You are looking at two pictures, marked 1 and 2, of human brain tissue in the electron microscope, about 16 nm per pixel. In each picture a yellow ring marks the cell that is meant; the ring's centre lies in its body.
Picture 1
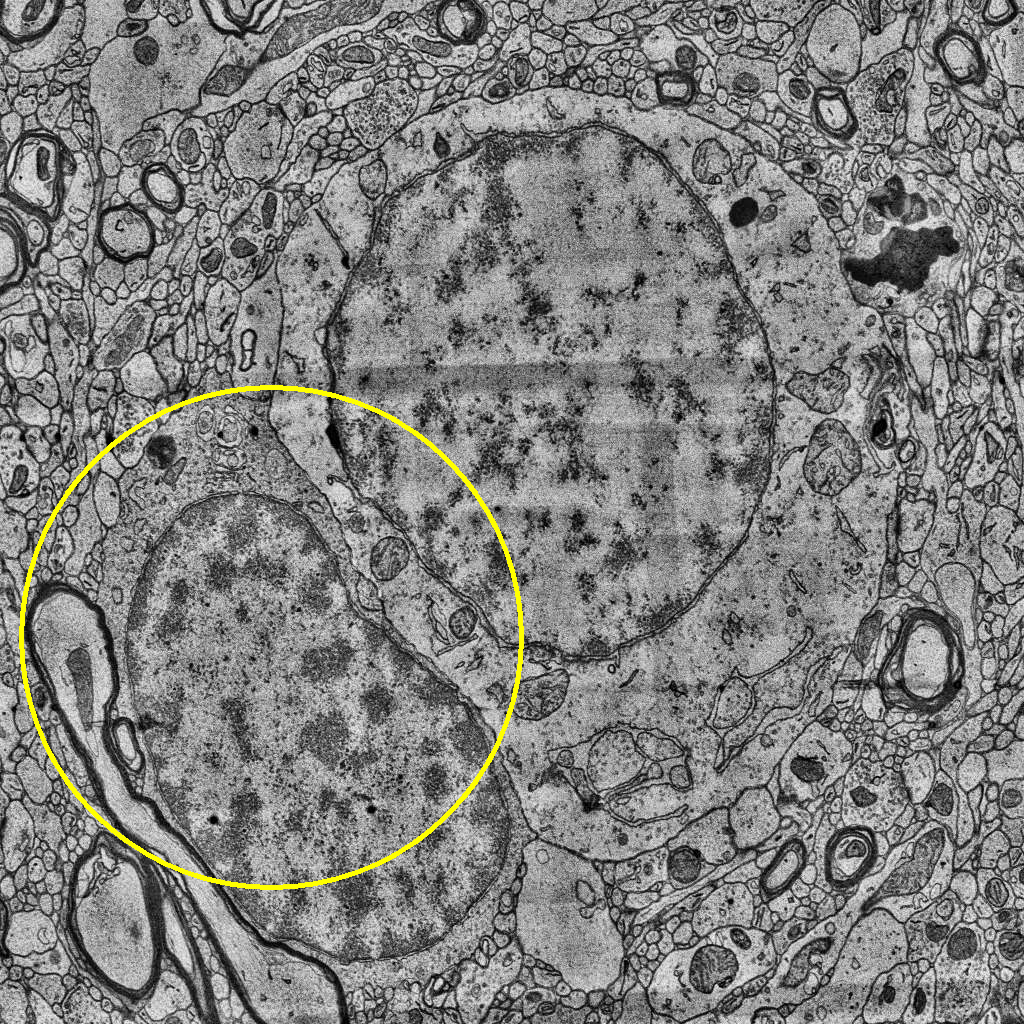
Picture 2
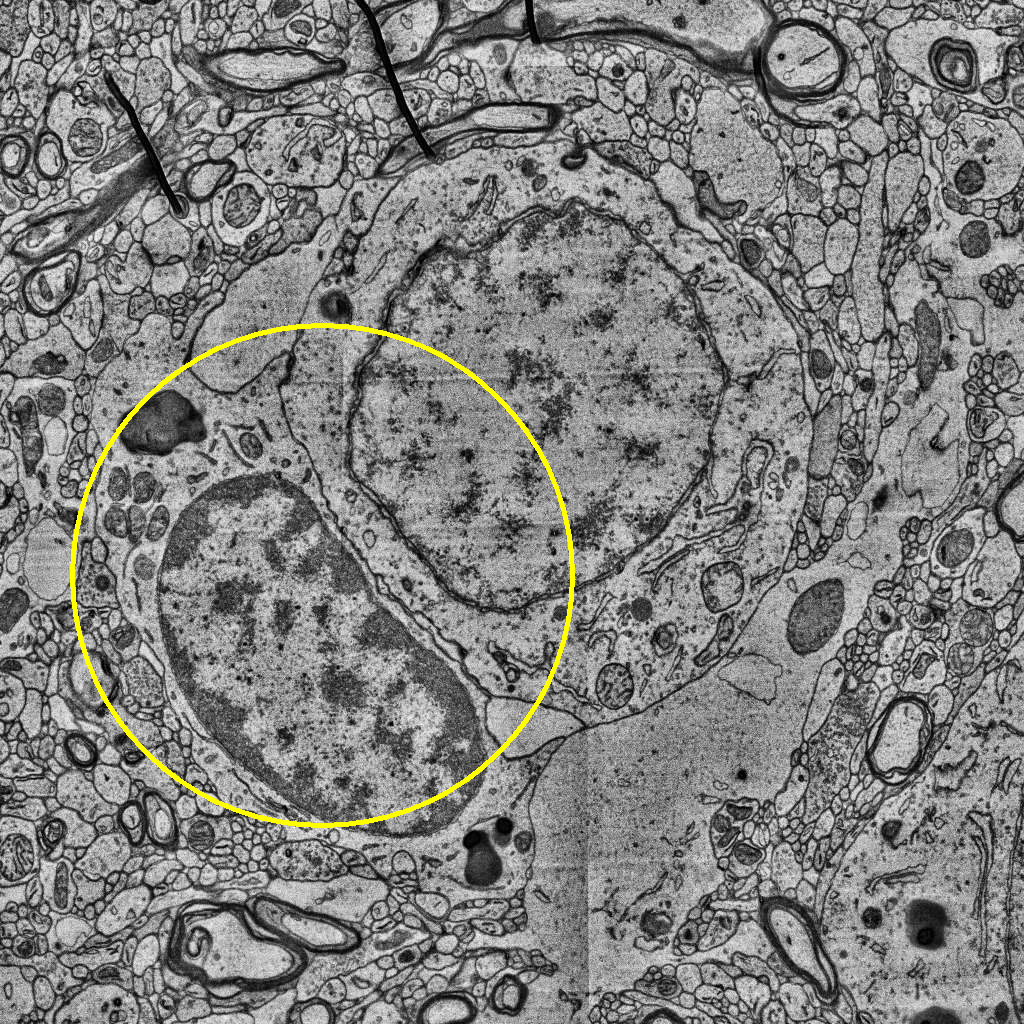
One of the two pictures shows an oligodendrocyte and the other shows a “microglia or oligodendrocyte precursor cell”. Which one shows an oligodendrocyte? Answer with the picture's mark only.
1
